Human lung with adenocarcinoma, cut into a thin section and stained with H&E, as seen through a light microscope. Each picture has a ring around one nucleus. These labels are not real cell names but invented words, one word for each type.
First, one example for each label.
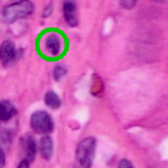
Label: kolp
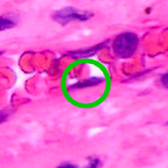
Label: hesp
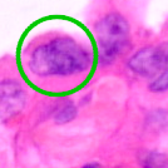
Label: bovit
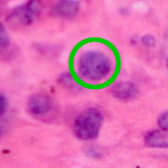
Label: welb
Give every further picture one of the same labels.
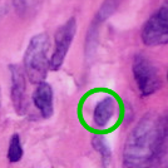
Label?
kolp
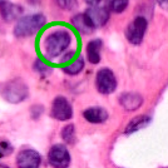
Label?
kolp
